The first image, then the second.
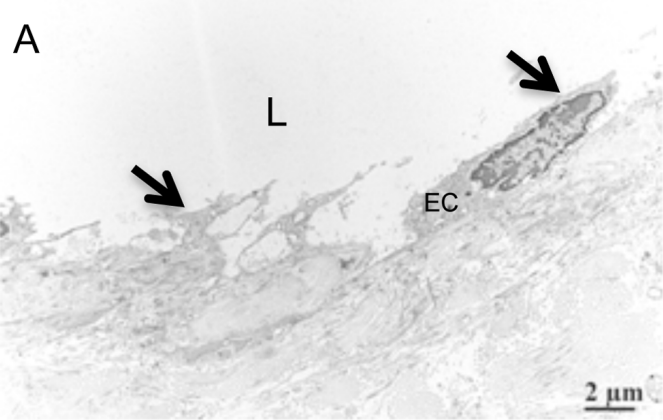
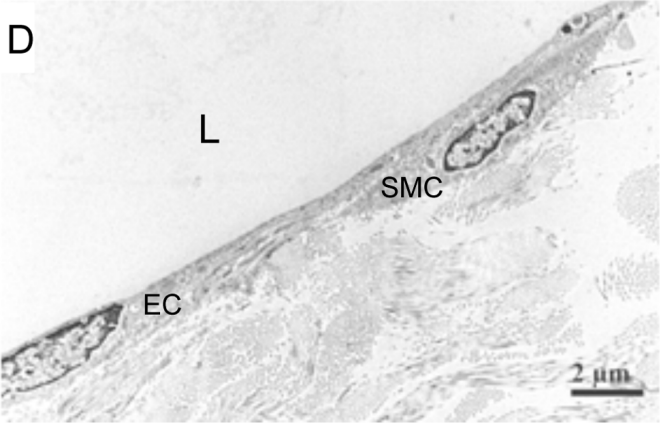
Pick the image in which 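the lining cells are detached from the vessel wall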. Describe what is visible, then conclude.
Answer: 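Second image: a thin, smooth, continuous lining lies flat against the wall. First image: lining cells are lifted off the wall with gaps and strands beneath them. That points to this answer: the first image.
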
